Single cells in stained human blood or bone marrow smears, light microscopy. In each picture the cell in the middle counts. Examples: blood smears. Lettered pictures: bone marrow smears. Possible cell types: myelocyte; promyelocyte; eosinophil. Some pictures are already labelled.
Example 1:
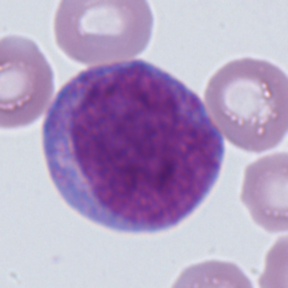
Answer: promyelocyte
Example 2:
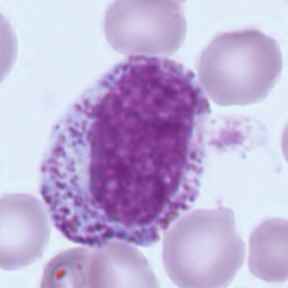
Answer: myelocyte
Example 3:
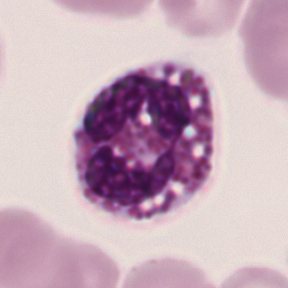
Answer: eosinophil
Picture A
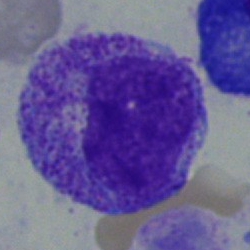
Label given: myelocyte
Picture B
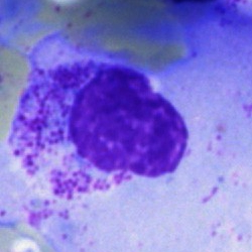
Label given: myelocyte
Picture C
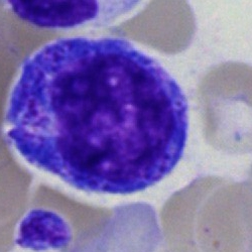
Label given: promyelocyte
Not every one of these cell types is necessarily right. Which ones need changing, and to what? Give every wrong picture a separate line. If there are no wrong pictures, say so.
Every label is right.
